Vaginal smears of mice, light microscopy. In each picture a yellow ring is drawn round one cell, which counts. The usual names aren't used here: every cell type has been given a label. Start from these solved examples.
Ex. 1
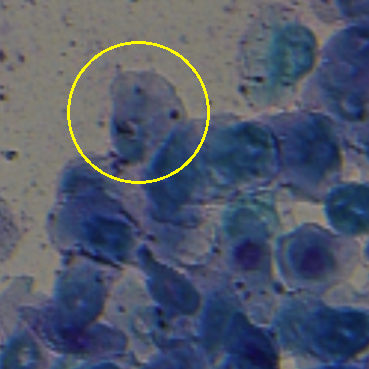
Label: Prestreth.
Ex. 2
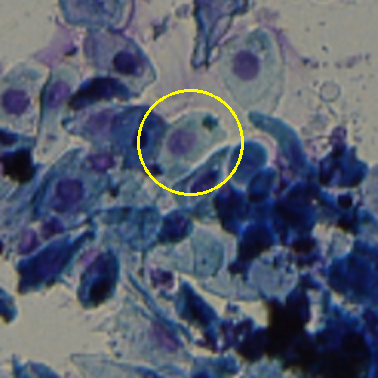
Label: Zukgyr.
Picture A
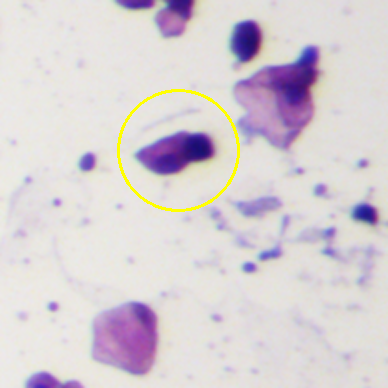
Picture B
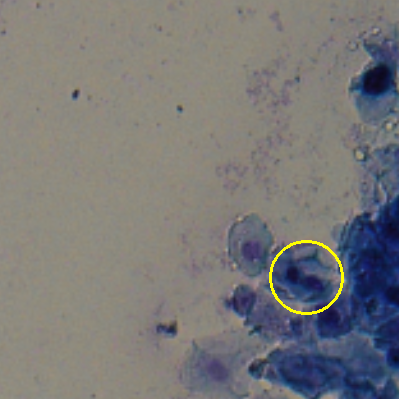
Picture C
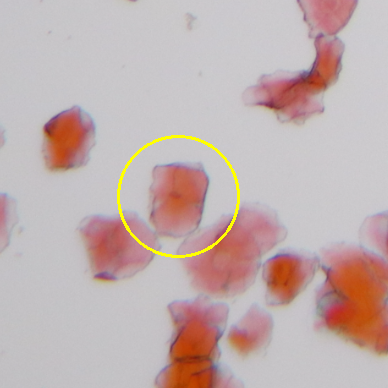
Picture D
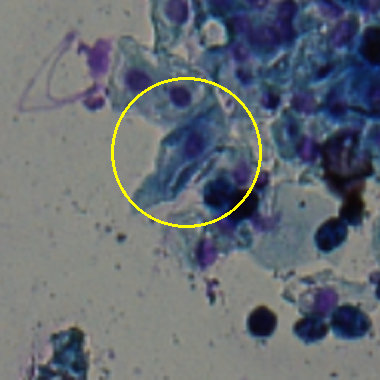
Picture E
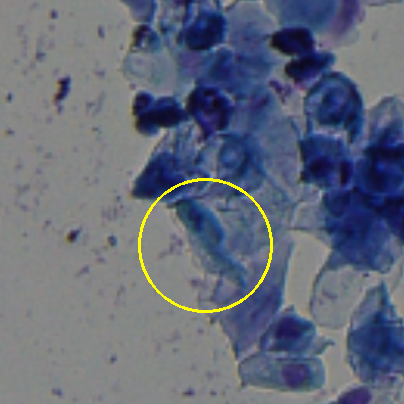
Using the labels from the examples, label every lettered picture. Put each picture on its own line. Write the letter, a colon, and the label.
A: Zukgyr.
B: Zukgyr.
C: Prestreth.
D: Zukgyr.
E: Prestreth.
